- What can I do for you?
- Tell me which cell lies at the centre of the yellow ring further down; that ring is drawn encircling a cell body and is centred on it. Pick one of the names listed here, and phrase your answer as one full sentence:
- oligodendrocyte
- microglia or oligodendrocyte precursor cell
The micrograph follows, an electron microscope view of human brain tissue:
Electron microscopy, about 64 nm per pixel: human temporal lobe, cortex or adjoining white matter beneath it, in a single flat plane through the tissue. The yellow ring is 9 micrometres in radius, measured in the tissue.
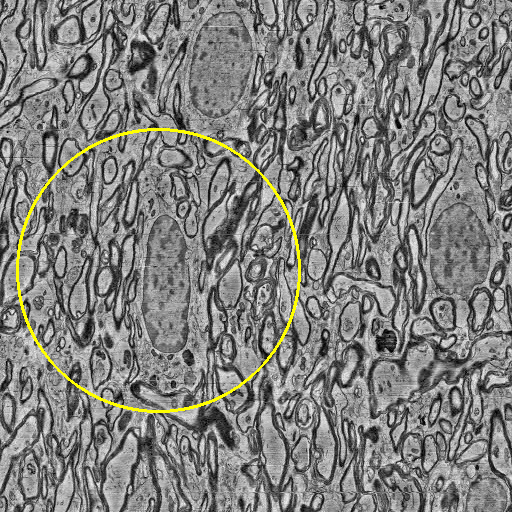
The cell whose body lies at the centre of the yellow ring is a microglial cell or oligodendrocyte precursor cell.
